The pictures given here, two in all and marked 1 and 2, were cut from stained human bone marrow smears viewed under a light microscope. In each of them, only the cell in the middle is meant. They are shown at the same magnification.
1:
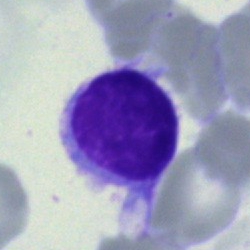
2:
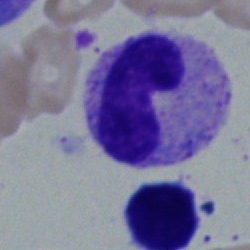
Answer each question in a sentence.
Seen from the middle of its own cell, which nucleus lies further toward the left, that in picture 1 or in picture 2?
It is the nucleus in picture 2 that lies further toward the left of its cell.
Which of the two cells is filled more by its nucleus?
The nucleus fills more of the cell in picture 1 than in picture 2.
